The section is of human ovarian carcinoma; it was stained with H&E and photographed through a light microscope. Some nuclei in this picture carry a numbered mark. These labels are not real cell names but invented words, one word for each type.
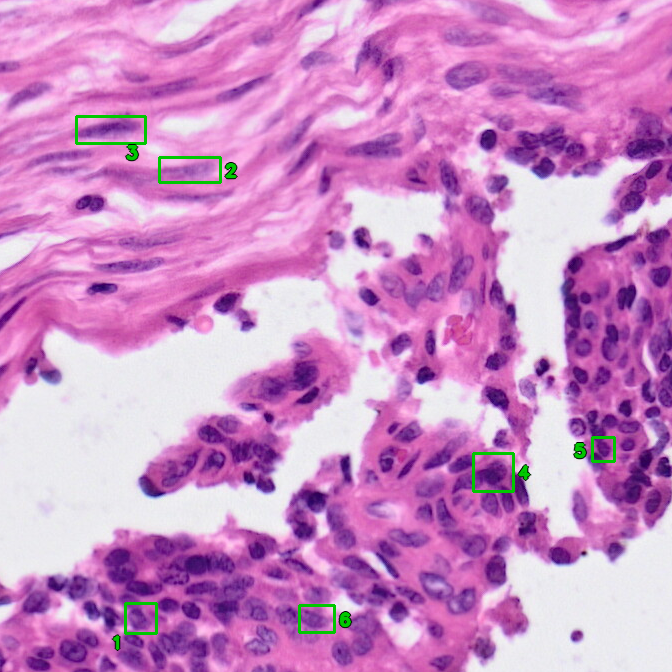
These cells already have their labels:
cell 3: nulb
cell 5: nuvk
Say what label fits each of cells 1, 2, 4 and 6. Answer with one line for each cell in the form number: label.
1: nuvk
2: nulb
4: nuvk
6: nuvk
